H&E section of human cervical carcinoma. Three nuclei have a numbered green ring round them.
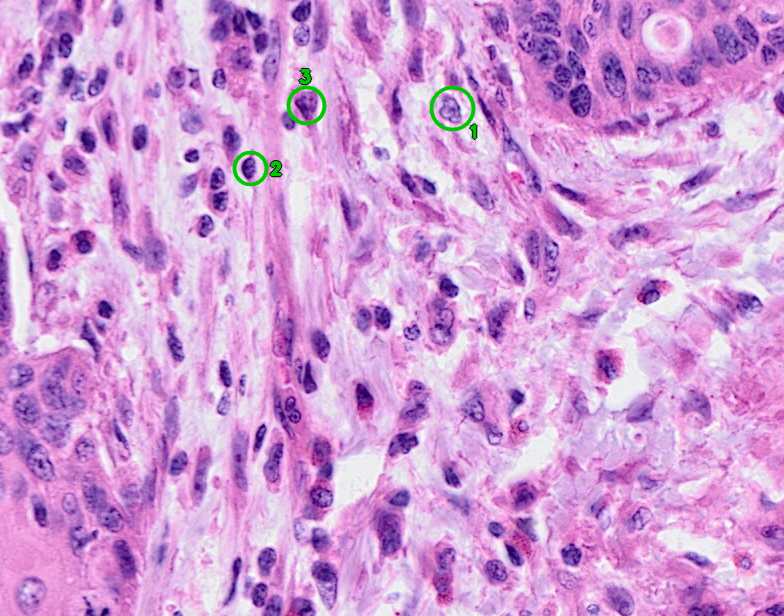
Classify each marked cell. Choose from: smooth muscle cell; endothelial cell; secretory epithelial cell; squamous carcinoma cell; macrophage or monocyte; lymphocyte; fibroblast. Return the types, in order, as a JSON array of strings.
["fibroblast", "lymphocyte", "macrophage or monocyte"]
